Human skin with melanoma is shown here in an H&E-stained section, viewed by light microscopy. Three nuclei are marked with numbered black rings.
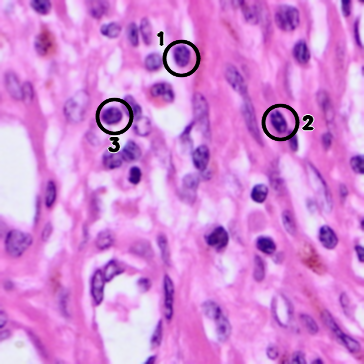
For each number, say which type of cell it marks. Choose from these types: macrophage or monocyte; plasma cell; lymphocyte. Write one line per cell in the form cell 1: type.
cell 1: lymphocyte
cell 2: plasma cell
cell 3: lymphocyte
